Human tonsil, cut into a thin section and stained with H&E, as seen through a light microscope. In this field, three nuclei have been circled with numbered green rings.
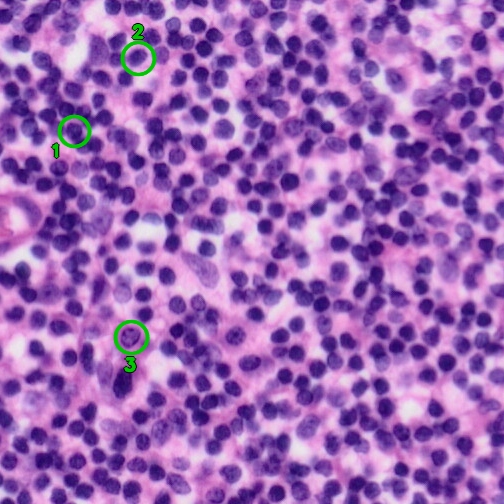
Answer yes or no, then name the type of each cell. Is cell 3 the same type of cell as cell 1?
No, cell 3 is a plasma cell and cell 1 is a small lymphocyte.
